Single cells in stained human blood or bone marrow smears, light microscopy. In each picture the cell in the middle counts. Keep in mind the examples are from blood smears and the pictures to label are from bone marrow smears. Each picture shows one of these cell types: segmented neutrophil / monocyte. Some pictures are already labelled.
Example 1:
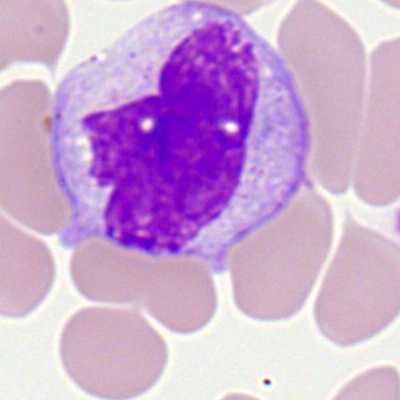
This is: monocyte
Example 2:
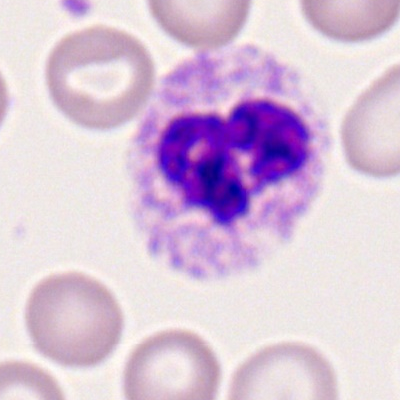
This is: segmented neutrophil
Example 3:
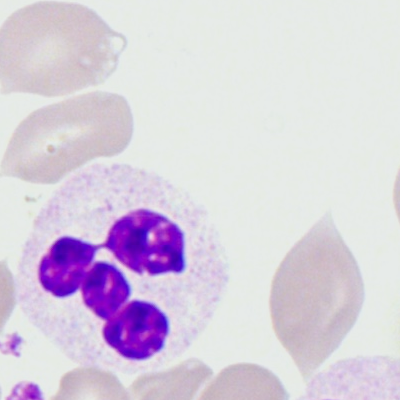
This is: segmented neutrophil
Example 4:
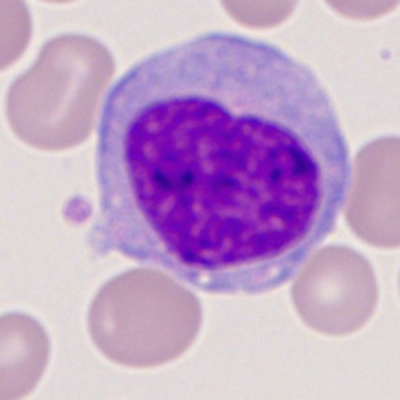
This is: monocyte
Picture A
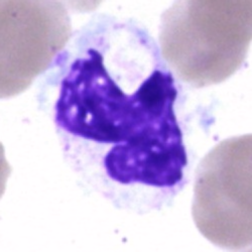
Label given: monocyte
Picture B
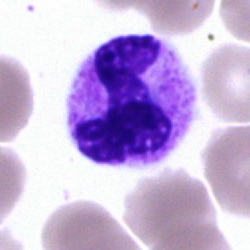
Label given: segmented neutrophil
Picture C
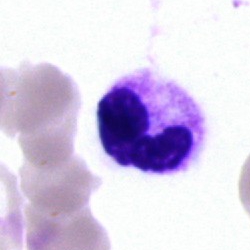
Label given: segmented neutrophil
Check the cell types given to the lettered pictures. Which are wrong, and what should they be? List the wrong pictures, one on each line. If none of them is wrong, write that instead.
A should be segmented neutrophil, not monocyte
